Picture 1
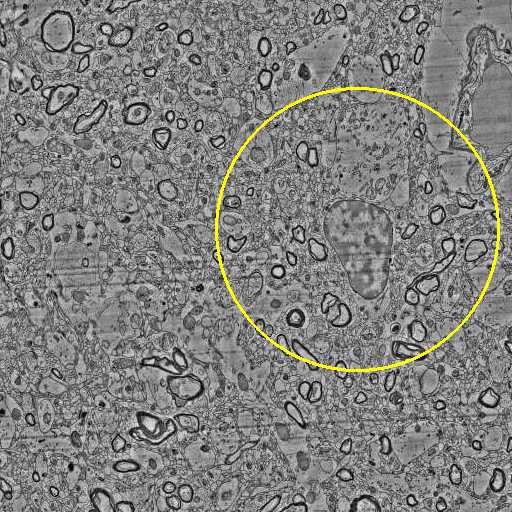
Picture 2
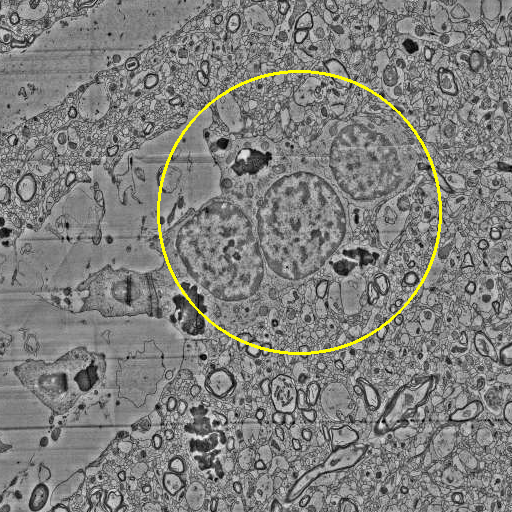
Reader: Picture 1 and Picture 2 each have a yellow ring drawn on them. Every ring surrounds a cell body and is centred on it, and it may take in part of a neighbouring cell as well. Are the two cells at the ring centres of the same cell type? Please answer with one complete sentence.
No, the cells are of two cell types.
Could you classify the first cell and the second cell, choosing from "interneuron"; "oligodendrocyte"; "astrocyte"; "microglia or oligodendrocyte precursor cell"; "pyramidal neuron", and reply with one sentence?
The second cell is an oligodendrocyte, while the first is a microglial cell or oligodendrocyte precursor cell.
